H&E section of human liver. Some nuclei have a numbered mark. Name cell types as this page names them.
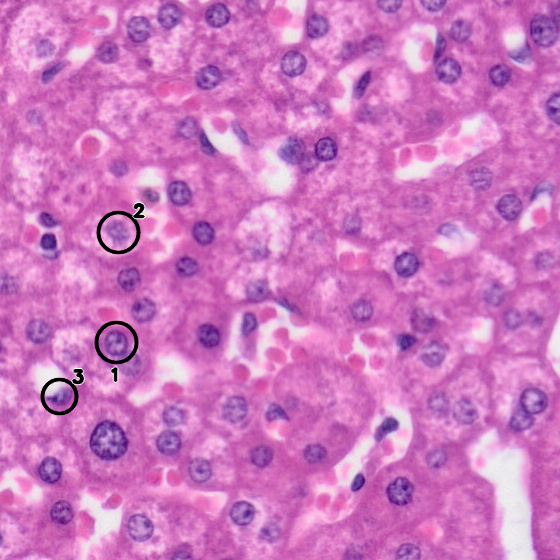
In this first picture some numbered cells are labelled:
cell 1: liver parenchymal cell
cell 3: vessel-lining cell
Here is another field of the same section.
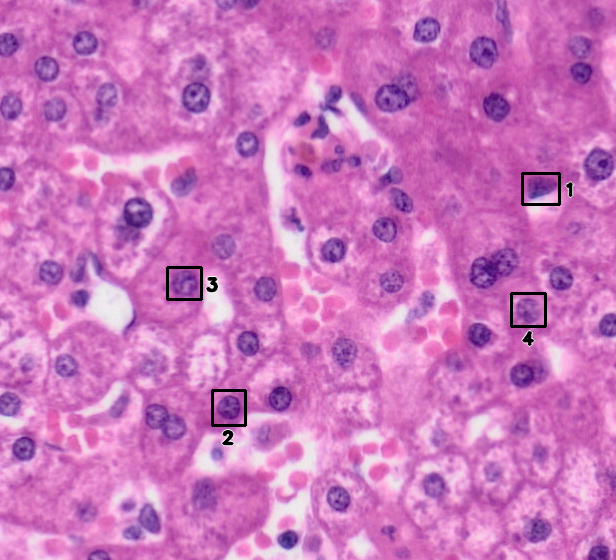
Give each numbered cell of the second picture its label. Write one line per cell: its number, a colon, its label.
1: vessel-lining cell
2: liver parenchymal cell
3: liver parenchymal cell
4: liver parenchymal cell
